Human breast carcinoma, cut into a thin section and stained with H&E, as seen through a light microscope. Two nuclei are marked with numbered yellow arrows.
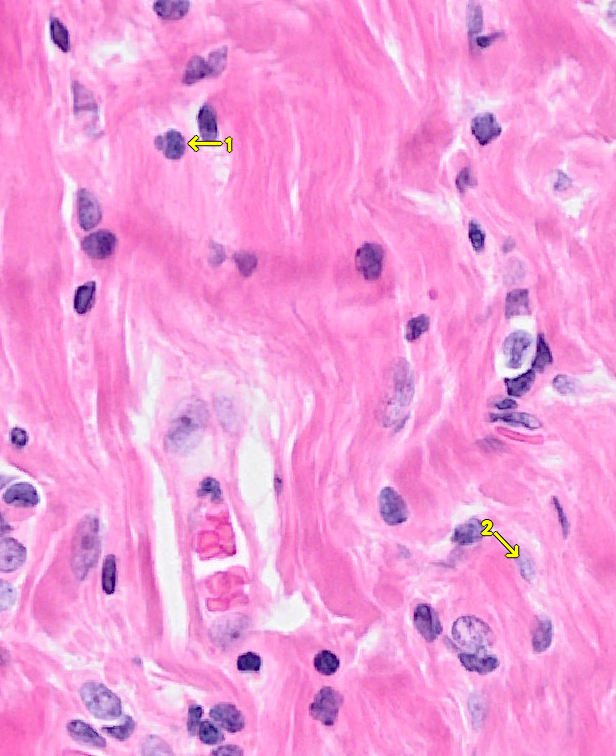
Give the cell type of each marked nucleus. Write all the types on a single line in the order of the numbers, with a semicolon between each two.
lymphocyte; fibroblast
